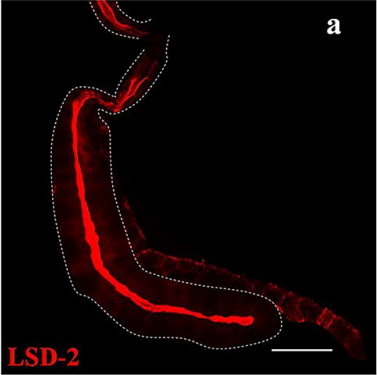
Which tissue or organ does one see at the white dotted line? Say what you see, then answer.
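Salivary gland. The dotted line encloses an elongated, tube-like organ with a narrow duct at its upper end. A bright central strand runs along the length of the outlined organ.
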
